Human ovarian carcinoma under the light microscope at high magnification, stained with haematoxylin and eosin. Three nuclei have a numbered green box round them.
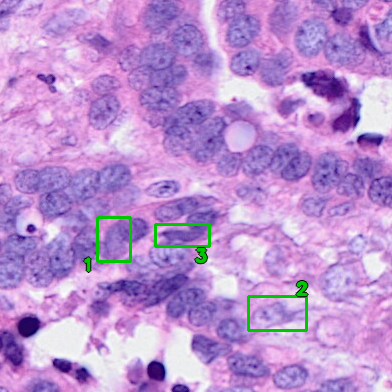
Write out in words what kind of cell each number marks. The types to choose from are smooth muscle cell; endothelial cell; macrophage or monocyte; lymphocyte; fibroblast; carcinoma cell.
Cell 1 is a carcinoma cell, cell 2 is a fibroblast and cell 3 is a carcinoma cell.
